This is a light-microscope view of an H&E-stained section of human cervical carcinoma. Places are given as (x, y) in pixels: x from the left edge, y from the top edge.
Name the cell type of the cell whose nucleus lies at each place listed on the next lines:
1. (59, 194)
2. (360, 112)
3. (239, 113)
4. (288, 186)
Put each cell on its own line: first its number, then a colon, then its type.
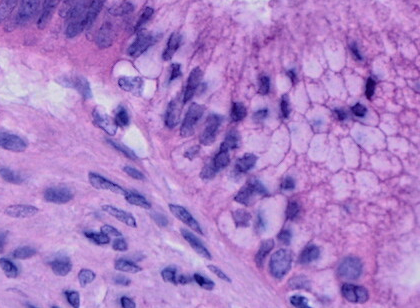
1: fibroblast
2: secretory epithelial cell
3: secretory epithelial cell
4: secretory epithelial cell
